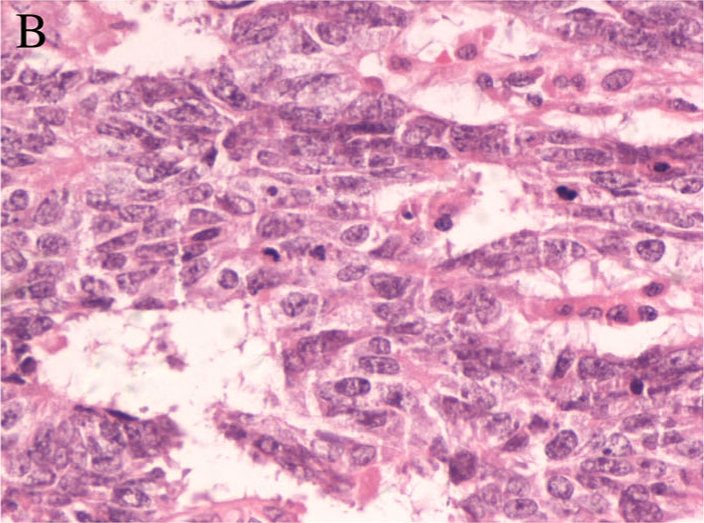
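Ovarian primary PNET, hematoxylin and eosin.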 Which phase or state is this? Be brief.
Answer: Brisk mitotic activity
